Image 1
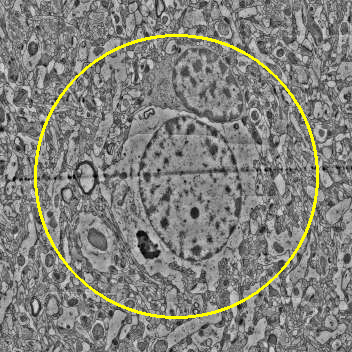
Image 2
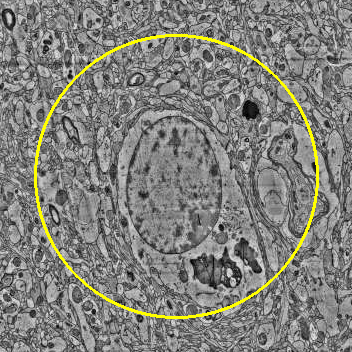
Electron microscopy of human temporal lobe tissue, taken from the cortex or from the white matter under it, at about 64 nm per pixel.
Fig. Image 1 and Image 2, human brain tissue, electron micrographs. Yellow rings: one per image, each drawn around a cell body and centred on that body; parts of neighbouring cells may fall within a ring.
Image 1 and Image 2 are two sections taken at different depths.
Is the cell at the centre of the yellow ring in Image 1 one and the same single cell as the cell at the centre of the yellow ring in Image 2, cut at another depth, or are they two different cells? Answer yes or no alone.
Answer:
no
